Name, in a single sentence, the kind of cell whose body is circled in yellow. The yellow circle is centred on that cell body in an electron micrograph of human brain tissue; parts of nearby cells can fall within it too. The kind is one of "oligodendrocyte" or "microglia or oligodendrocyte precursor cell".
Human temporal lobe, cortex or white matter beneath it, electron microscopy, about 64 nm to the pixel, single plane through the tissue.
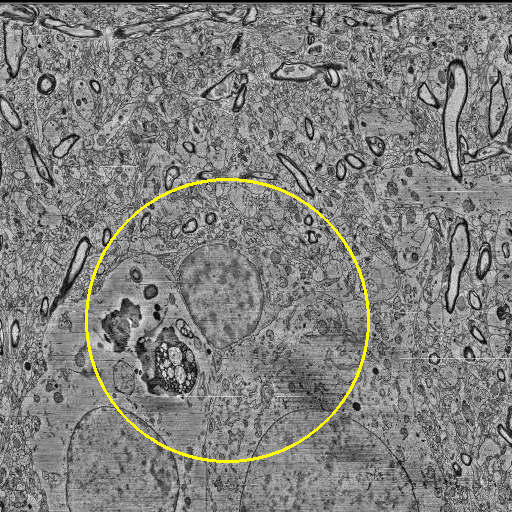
The circled cell body belongs to an oligodendrocyte.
